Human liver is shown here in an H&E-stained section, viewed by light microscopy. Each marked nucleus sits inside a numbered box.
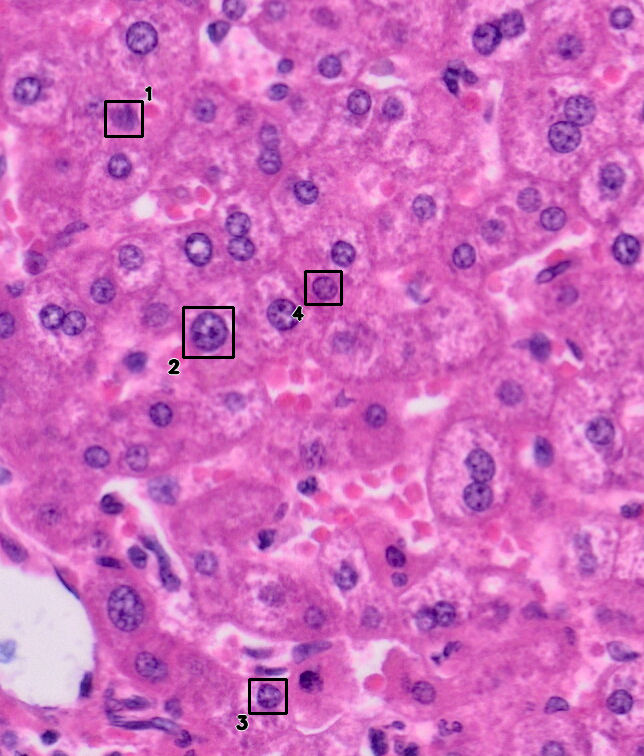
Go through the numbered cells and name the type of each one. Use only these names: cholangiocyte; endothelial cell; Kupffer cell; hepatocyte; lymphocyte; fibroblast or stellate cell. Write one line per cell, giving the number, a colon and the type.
1: endothelial cell
2: hepatocyte
3: hepatocyte
4: hepatocyte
